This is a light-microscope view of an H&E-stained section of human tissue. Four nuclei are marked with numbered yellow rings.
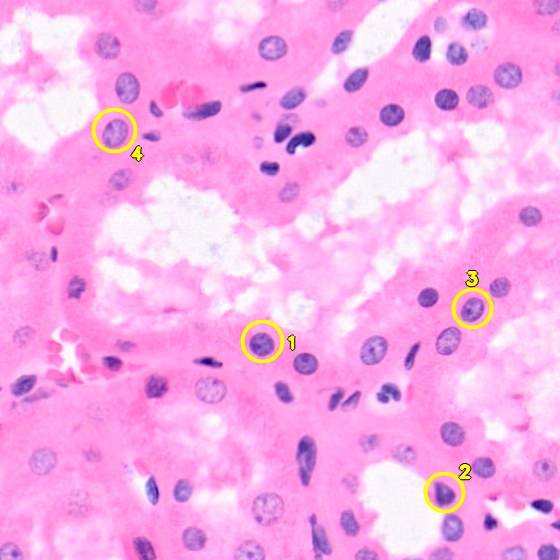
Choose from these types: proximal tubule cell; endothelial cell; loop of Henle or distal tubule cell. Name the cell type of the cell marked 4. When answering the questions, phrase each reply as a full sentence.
The cell that carries the label 4 is a proximal tubule cell.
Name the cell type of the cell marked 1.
Here the cell numbered 1 is a proximal tubule cell.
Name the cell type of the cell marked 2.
Heads up, the cell numbered 2 is a loop of Henle or distal tubule cell.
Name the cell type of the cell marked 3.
The cell with the number 3 is a proximal tubule cell.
